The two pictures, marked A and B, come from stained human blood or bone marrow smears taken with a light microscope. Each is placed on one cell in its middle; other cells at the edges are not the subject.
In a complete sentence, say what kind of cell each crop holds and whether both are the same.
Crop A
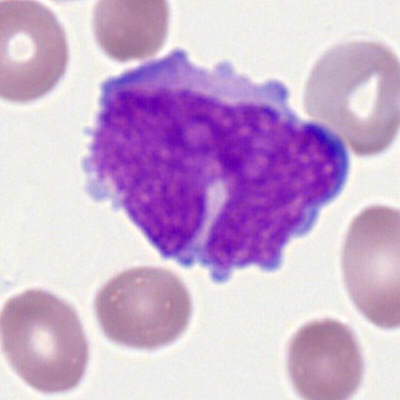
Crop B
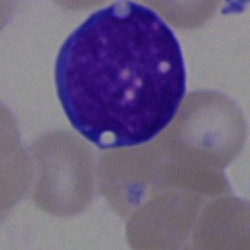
No, in crop A the cell is a monocyte, and in crop B it is a blast.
